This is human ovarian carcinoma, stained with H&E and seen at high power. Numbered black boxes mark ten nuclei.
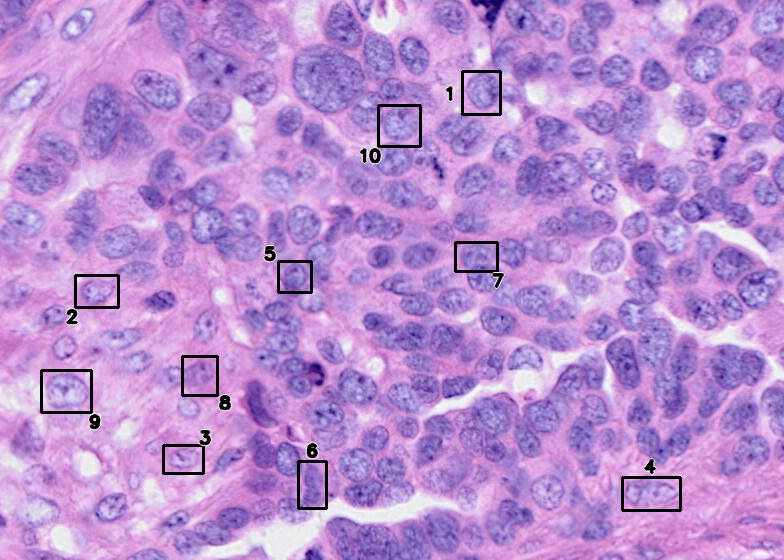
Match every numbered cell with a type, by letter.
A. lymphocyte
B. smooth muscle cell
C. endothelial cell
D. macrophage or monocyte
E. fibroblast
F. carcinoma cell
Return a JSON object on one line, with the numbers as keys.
{"1": "F", "2": "E", "3": "E", "4": "E", "5": "F", "6": "F", "7": "F", "8": "E", "9": "E", "10": "F"}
